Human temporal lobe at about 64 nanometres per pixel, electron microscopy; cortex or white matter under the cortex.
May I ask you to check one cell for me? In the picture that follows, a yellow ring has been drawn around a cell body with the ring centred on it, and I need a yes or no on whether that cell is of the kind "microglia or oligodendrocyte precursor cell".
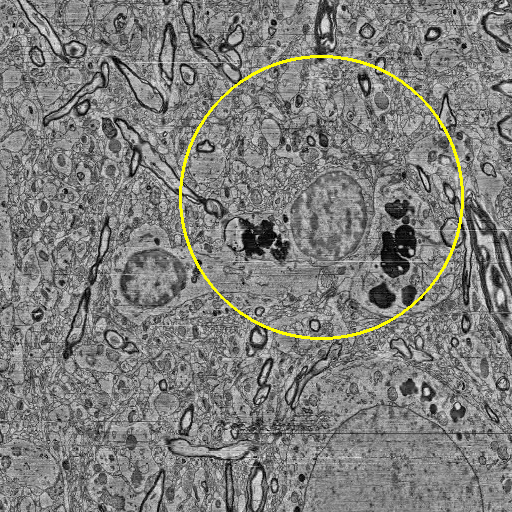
No, it is some other kind of cell.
